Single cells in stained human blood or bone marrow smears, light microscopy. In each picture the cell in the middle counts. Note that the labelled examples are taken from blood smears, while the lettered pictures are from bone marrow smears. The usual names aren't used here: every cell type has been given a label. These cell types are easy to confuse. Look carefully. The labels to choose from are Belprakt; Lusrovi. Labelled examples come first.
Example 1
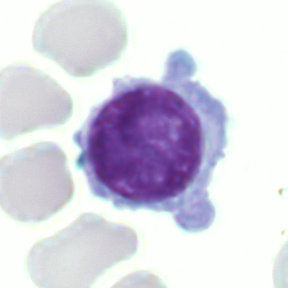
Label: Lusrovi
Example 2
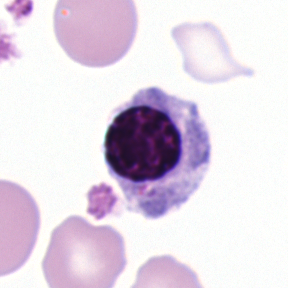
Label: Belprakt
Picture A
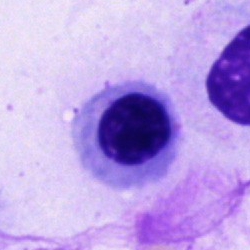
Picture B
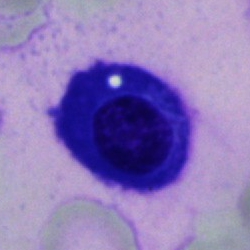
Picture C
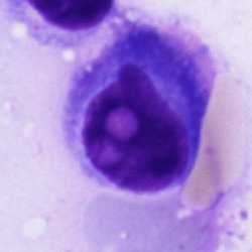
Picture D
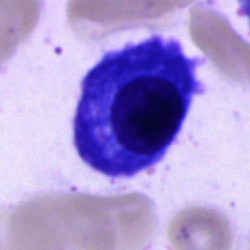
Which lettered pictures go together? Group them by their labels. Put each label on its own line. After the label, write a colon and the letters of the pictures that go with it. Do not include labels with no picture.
Belprakt: A
Lusrovi: B, C, D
